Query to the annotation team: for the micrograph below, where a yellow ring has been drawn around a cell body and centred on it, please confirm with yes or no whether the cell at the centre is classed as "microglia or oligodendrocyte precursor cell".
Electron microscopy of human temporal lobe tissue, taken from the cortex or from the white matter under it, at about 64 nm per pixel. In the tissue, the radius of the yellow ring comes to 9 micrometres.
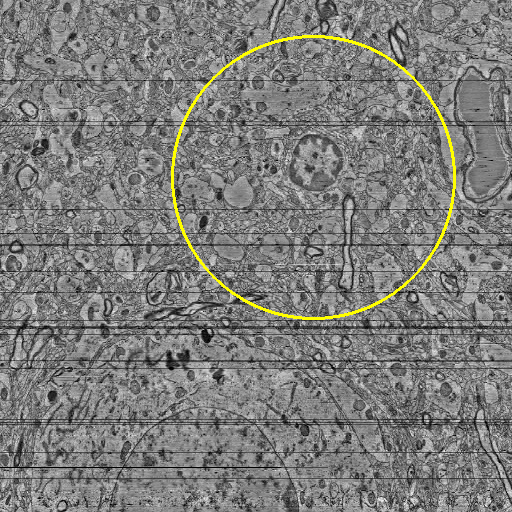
Yes, it is classed that way.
